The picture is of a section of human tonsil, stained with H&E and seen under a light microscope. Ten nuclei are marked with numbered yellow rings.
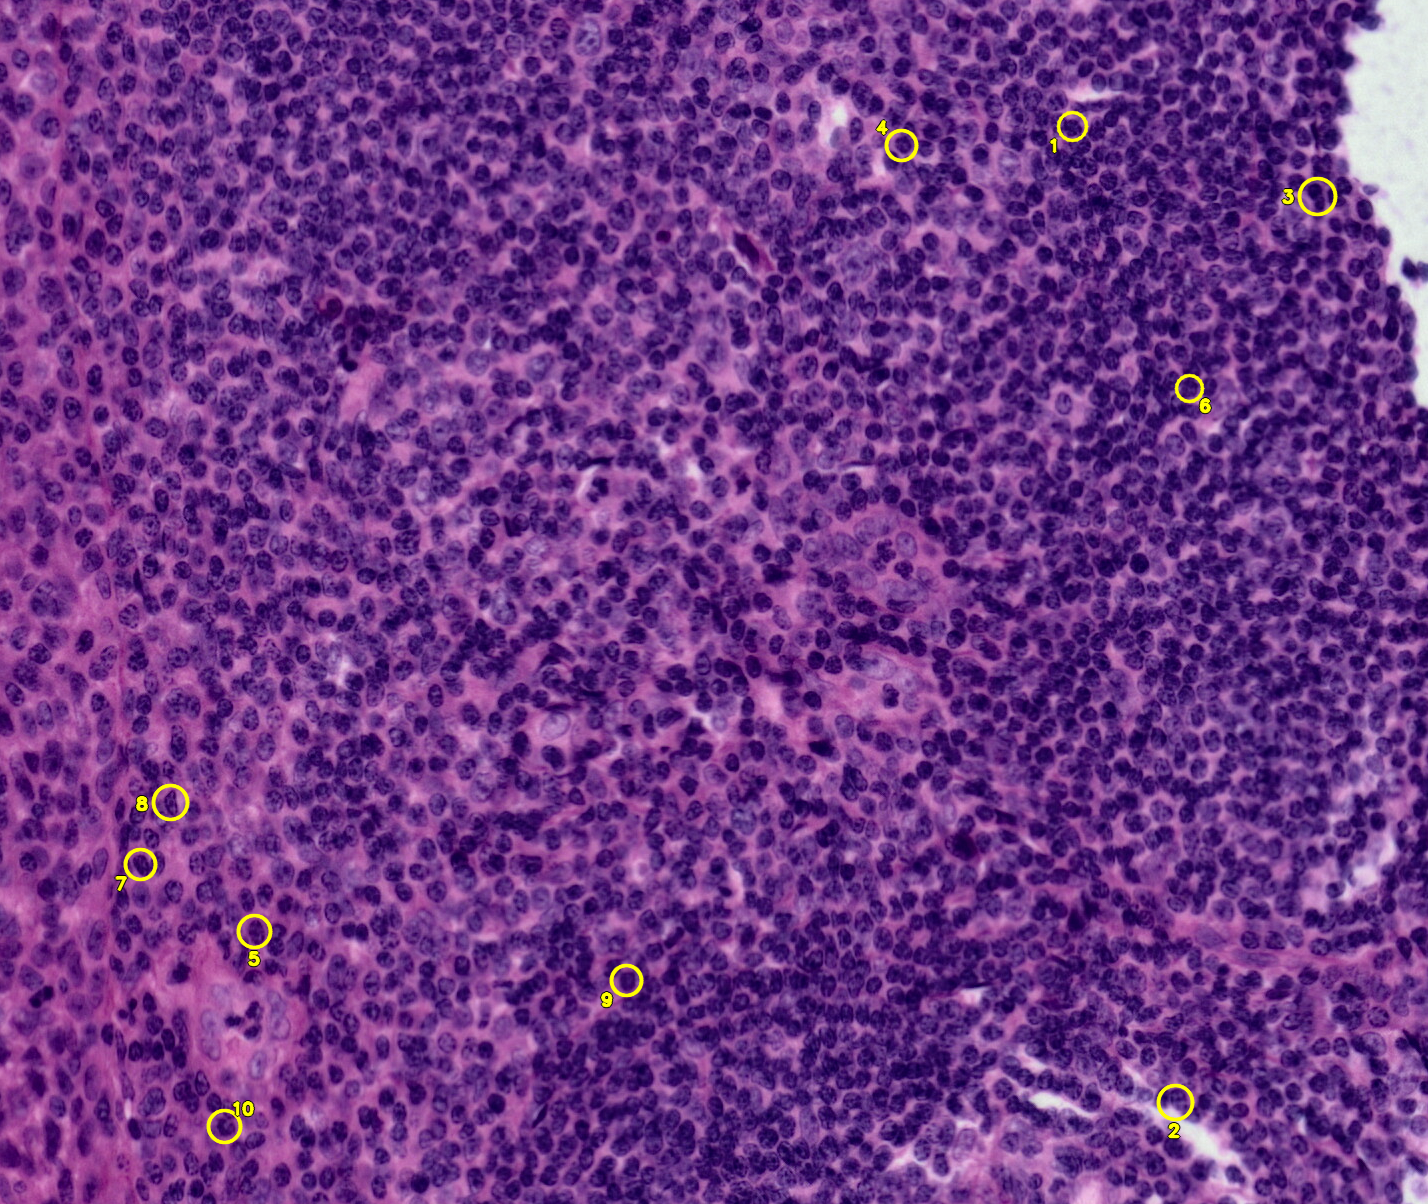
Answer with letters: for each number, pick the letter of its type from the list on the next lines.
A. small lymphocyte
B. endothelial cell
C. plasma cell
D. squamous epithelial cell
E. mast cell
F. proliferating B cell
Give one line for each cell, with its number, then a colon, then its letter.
1: A
2: A
3: A
4: A
5: C
6: A
7: C
8: C
9: A
10: C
